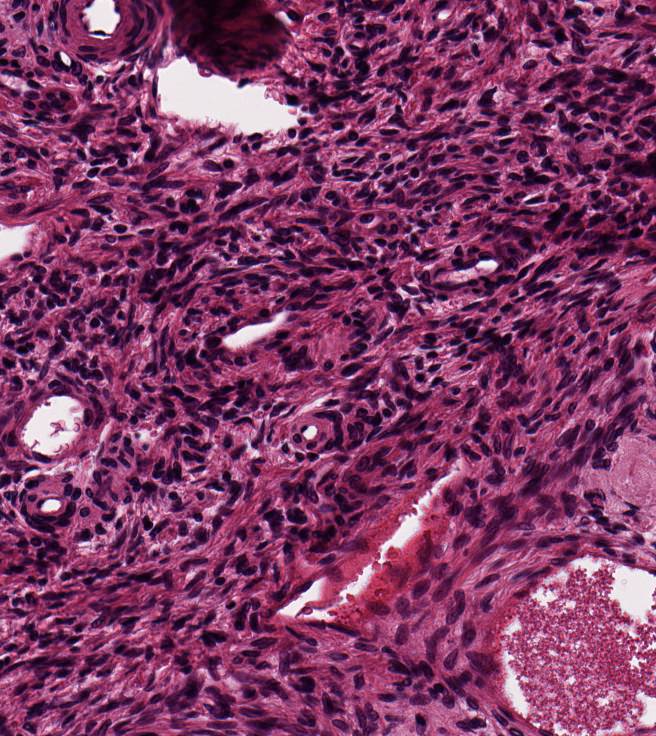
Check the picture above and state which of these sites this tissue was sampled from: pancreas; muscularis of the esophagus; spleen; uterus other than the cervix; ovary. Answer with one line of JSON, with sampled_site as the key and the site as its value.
{"sampled_site": "ovary"}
